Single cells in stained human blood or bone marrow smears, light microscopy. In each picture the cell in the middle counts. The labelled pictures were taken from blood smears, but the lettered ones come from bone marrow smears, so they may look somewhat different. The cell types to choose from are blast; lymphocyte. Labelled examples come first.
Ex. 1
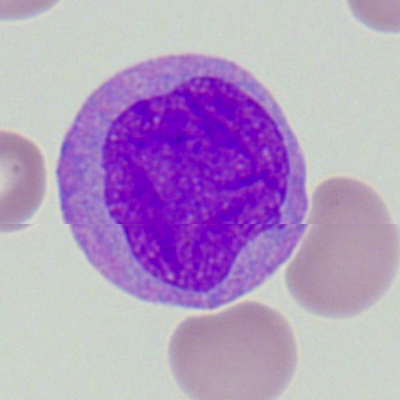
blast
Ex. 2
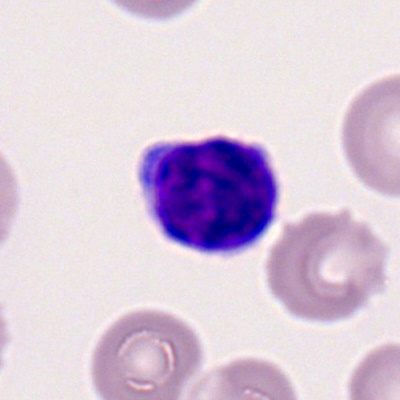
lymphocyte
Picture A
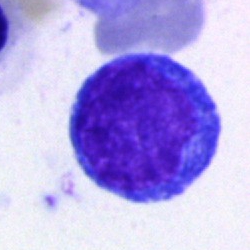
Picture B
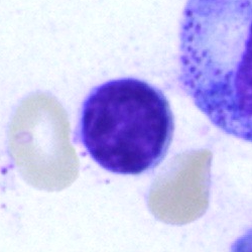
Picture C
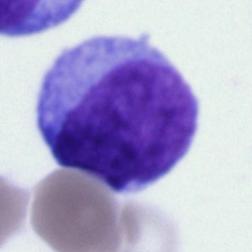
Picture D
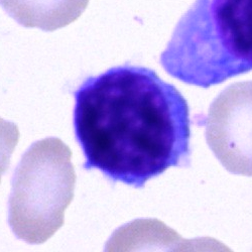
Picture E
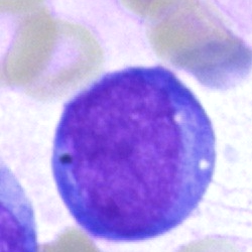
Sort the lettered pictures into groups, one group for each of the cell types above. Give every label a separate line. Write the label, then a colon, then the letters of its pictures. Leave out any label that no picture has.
blast: C, E
lymphocyte: A, B, D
